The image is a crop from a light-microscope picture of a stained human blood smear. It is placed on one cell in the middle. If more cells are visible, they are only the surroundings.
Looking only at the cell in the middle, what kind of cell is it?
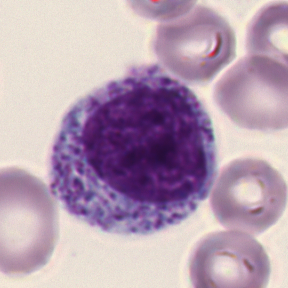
myelocyte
